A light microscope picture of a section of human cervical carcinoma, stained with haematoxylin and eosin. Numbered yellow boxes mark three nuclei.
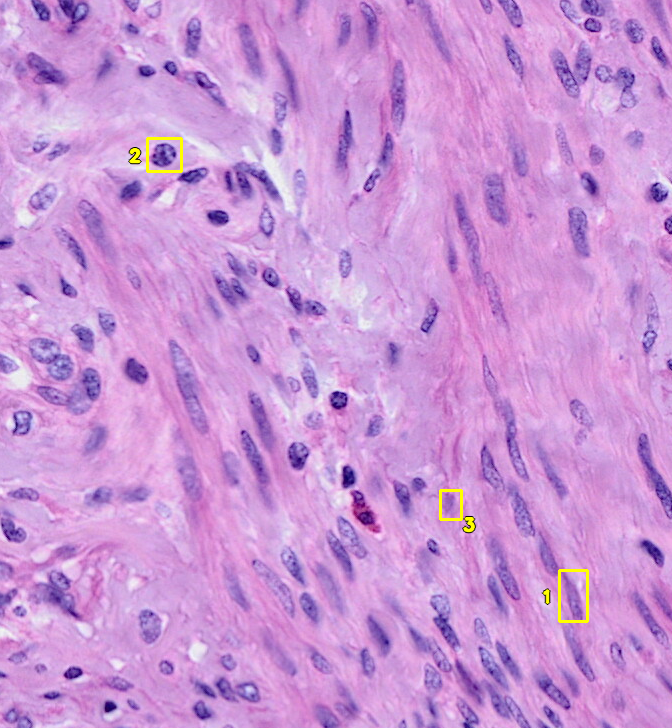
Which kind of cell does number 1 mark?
smooth muscle cell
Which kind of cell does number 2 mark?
lymphocyte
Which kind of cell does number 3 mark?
smooth muscle cell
